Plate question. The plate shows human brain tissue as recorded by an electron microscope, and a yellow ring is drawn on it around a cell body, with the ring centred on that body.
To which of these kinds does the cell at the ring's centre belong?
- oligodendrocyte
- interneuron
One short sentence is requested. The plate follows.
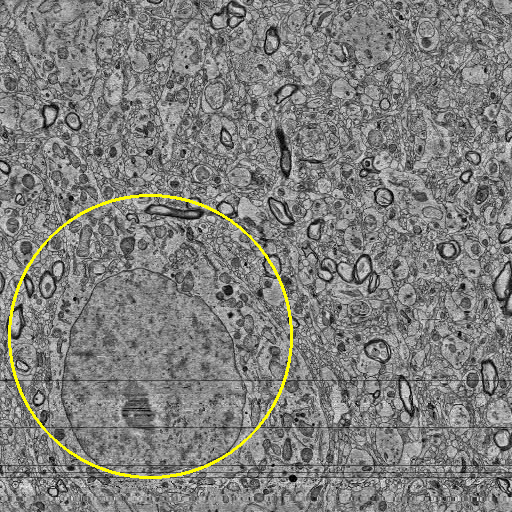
The cell at the ring's centre is an interneuron.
